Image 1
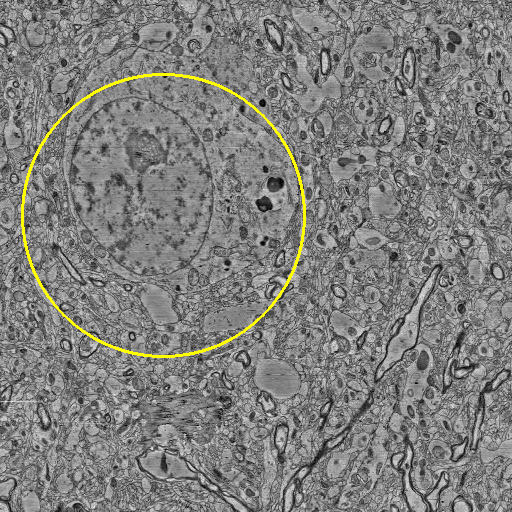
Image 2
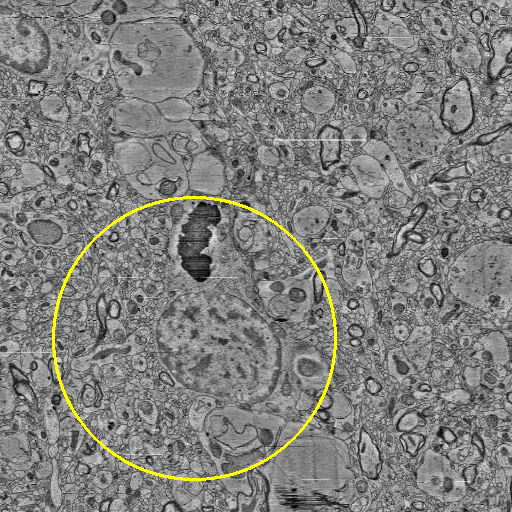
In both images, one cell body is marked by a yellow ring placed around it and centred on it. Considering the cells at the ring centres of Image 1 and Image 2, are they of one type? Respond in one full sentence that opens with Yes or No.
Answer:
No, two types apply to the ring-centred cells of Image 1 and Image 2.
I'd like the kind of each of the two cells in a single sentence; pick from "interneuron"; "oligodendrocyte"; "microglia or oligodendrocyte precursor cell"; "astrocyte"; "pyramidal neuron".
The first ring marks a pyramidal neuron, and the second ring marks an oligodendrocyte.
